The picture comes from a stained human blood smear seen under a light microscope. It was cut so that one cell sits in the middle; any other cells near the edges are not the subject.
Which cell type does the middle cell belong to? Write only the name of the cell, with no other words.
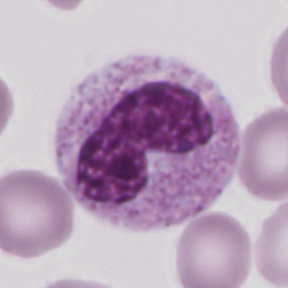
band neutrophil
